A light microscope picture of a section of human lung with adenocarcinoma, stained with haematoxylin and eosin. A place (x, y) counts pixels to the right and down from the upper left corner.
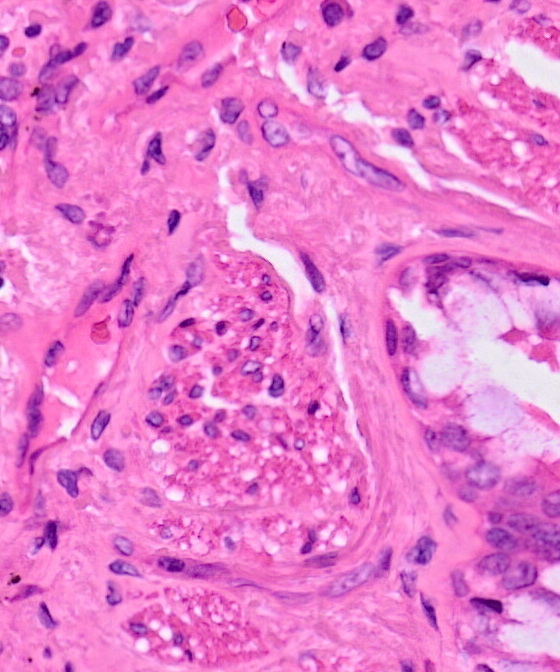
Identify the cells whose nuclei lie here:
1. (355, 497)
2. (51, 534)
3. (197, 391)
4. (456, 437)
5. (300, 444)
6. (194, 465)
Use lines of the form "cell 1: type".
cell 1: smooth muscle cell or pericyte
cell 2: plasma cell
cell 3: smooth muscle cell or pericyte
cell 4: ciliated epithelial cell
cell 5: smooth muscle cell or pericyte
cell 6: smooth muscle cell or pericyte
